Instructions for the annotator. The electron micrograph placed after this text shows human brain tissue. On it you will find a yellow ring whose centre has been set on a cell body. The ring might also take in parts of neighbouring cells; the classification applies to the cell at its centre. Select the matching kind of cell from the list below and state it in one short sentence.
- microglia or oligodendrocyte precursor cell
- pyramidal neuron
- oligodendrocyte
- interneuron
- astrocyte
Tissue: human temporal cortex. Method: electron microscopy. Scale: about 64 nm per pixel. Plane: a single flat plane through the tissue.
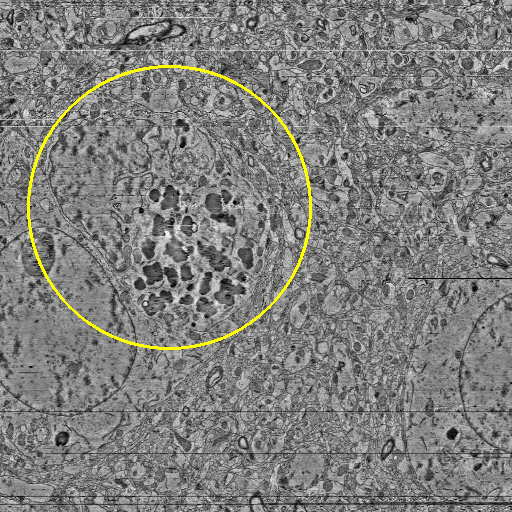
The ring is drawn on the cell body of an interneuron.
